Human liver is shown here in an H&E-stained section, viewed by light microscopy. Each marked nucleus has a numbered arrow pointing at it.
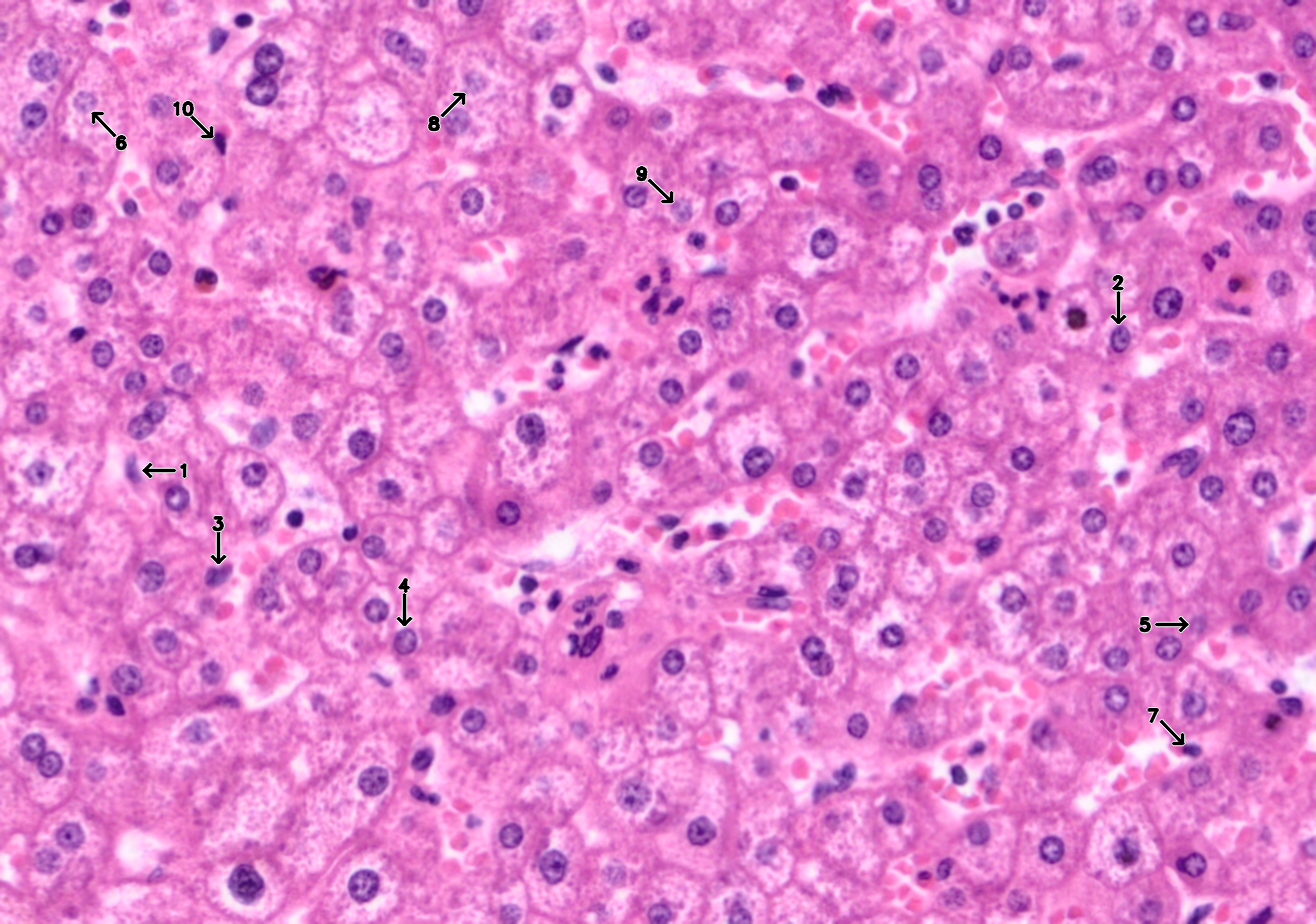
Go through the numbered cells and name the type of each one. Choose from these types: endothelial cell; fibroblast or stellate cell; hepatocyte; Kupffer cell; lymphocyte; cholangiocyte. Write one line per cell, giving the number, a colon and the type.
1: Kupffer cell
2: hepatocyte
3: endothelial cell
4: hepatocyte
5: hepatocyte
6: hepatocyte
7: lymphocyte
8: hepatocyte
9: hepatocyte
10: fibroblast or stellate cell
